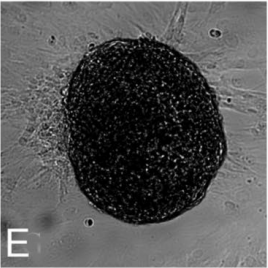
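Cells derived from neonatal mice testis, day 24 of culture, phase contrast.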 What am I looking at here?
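A single large, compact, rounded colony of tightly packed small round cells sits with a sharp, smooth border on a layer of flat, spread-out cells with thin extensions. The cells inside the colony are so densely crowded that their outlines merge into a dark granular mass.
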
